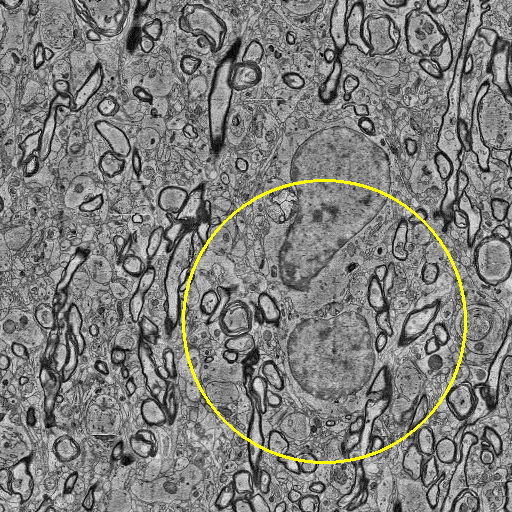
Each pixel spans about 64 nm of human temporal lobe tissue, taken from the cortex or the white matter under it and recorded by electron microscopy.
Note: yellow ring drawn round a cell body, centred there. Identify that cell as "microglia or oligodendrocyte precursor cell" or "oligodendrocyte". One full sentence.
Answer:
The cell in the middle of the ring is an oligodendrocyte.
